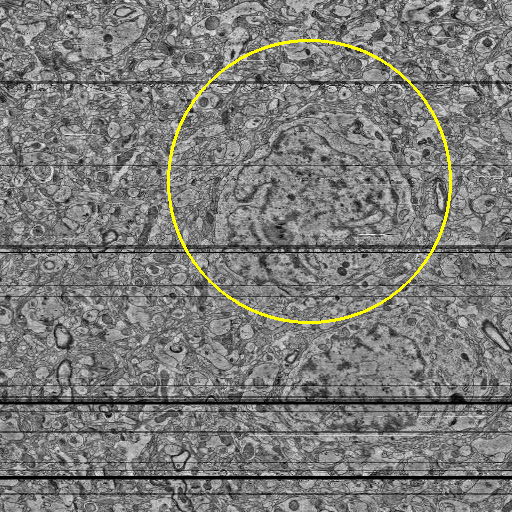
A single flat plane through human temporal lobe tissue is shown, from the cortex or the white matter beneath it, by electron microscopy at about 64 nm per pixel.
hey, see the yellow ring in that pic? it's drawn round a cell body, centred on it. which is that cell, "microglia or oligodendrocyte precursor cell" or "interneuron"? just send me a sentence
The cell in the ring is an interneuron.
